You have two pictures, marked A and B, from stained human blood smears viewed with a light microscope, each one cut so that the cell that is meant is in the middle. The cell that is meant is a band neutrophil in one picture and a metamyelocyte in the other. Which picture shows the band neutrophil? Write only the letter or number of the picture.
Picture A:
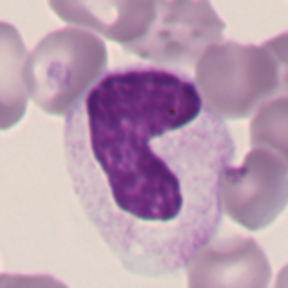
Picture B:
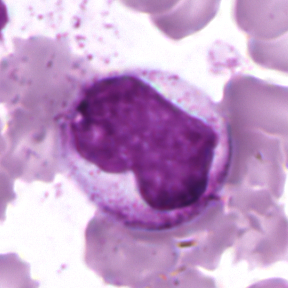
A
